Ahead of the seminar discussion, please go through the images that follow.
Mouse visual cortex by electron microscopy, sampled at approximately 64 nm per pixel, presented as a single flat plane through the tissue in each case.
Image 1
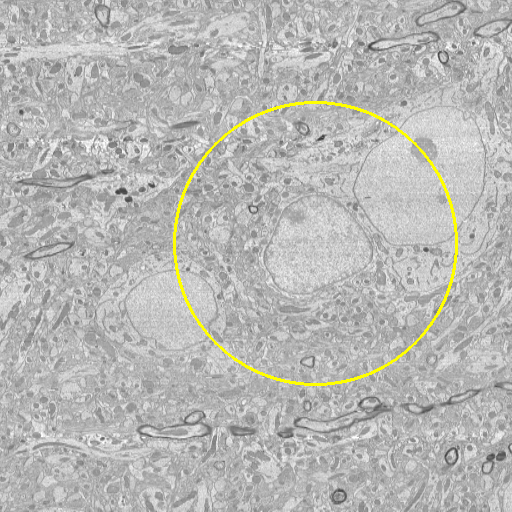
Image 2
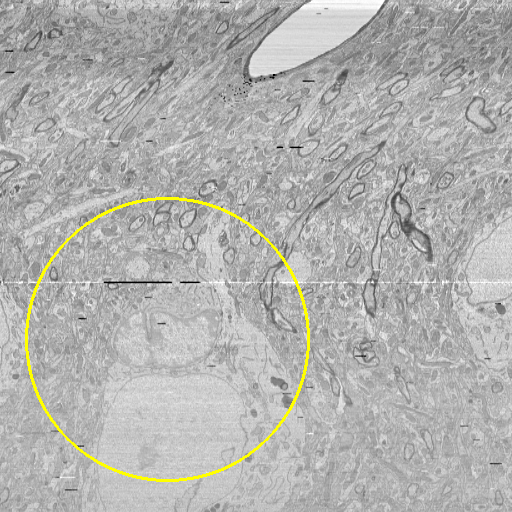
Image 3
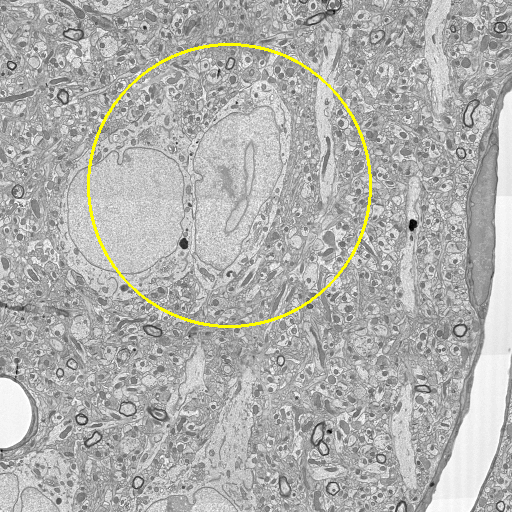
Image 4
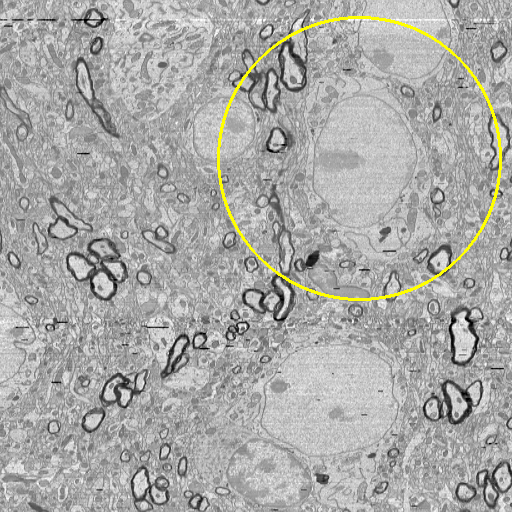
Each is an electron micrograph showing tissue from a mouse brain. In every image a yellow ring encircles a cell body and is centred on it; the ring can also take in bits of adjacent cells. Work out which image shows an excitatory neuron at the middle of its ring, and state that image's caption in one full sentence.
In Image 4, the ring's centre holds the cell you are looking for.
